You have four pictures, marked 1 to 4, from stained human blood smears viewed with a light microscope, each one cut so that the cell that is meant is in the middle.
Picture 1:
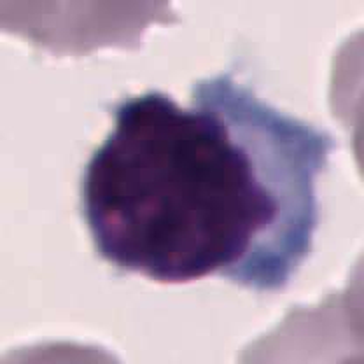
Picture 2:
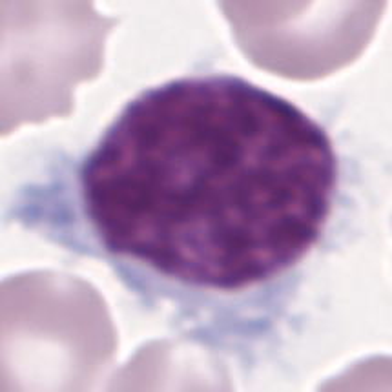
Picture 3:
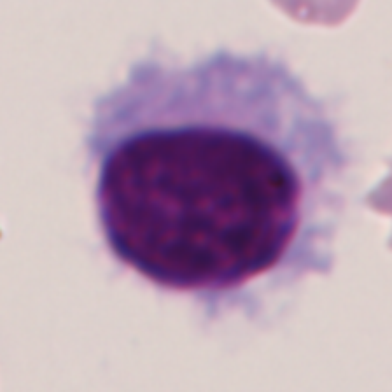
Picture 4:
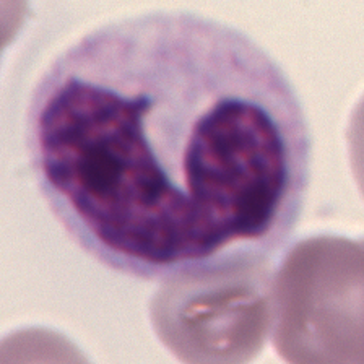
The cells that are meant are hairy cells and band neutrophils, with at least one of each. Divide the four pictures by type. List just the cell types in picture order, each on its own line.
hairy cell
hairy cell
hairy cell
band neutrophil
